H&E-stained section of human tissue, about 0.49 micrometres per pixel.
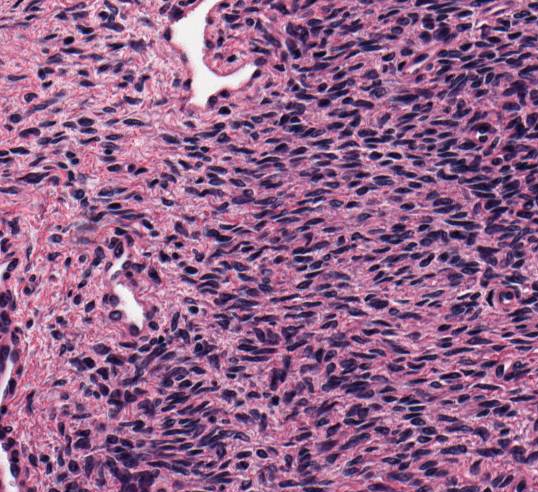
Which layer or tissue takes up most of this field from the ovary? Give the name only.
ovarian cortex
